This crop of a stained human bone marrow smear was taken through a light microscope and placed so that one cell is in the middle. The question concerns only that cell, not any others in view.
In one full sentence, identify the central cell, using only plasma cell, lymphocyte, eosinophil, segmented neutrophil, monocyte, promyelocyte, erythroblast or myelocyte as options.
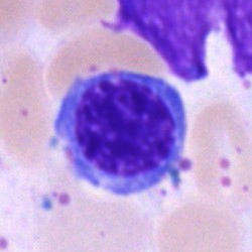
The crop's centre is taken up by an erythroblast.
